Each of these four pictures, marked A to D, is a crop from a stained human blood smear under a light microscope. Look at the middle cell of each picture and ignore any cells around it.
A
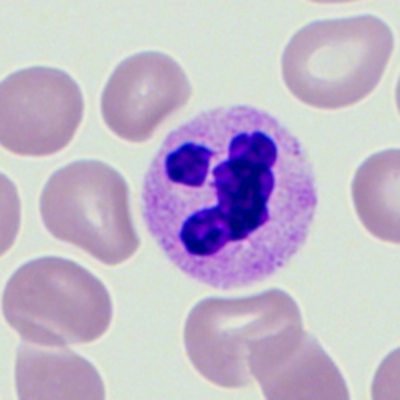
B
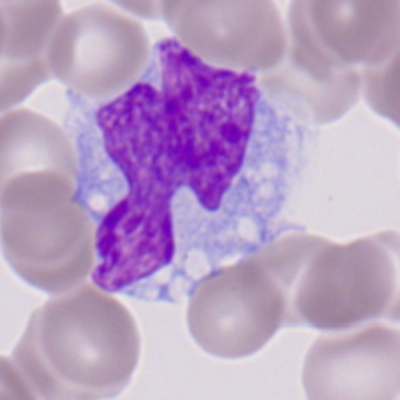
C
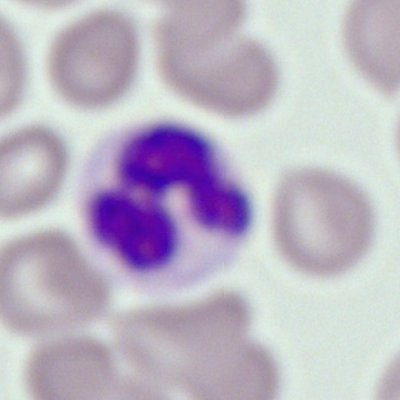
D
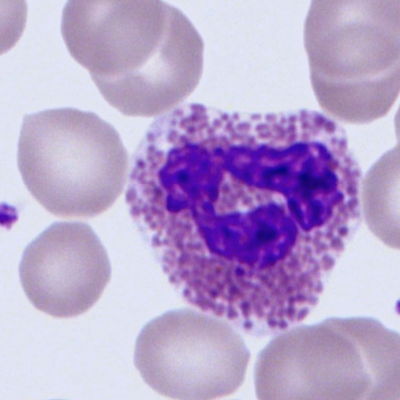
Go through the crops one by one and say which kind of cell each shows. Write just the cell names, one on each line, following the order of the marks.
segmented neutrophil
monocyte
segmented neutrophil
eosinophil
